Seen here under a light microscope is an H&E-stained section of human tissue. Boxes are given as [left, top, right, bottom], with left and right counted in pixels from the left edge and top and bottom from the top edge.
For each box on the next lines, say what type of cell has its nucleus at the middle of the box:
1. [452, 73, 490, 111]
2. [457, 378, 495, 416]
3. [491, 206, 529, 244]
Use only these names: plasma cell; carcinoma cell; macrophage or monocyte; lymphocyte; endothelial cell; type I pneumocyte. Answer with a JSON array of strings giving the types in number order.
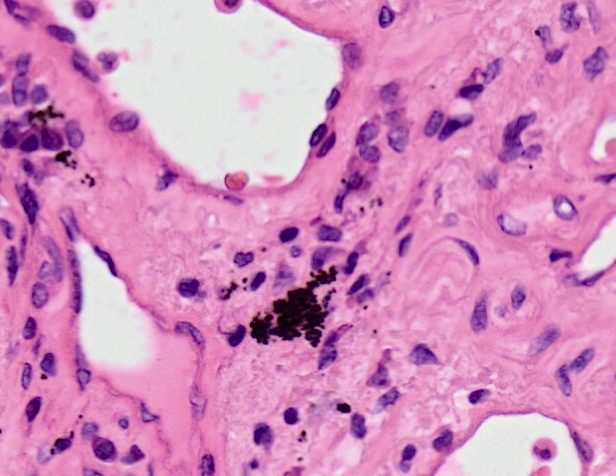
["plasma cell", "lymphocyte", "endothelial cell"]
